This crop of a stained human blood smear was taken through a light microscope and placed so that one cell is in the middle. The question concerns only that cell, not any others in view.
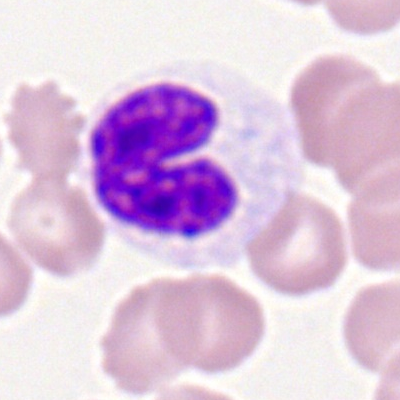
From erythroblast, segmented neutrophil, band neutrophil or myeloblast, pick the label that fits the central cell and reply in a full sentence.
The cell at the middle of the crop is recognized as a band neutrophil.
